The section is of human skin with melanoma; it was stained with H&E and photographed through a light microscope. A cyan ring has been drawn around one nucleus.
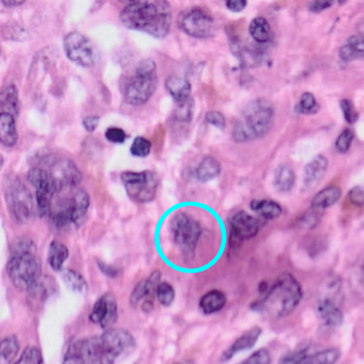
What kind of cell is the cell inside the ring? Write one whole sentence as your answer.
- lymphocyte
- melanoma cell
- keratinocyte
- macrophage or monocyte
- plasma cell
The cell inside the ring appears to be a melanoma cell.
